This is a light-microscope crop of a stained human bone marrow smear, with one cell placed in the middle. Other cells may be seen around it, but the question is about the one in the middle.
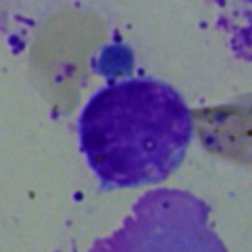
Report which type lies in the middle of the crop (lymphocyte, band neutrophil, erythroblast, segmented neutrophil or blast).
lymphocyte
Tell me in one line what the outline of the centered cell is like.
Along its border, the cell is uneven, whether by ragged stretches or by projections.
